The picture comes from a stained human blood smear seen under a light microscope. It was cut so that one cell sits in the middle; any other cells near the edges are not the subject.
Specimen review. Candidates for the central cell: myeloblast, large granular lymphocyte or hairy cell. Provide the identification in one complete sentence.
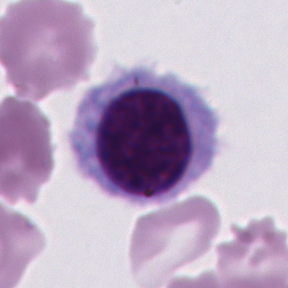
In the crop, the cell of interest at the centre is a hairy cell.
